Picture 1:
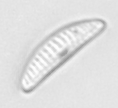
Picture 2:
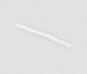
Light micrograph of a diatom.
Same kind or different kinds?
Different: the first is Amphora, the second Fistulifera.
